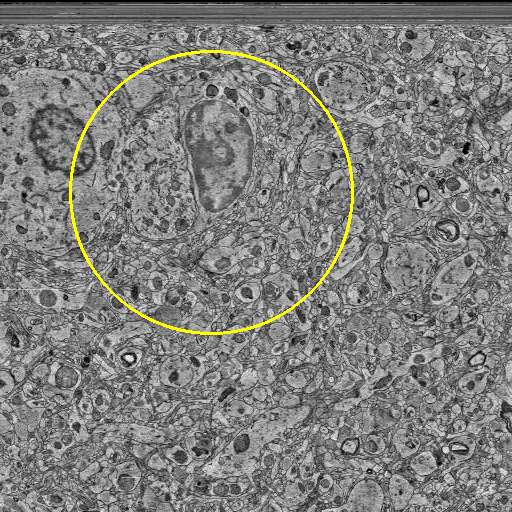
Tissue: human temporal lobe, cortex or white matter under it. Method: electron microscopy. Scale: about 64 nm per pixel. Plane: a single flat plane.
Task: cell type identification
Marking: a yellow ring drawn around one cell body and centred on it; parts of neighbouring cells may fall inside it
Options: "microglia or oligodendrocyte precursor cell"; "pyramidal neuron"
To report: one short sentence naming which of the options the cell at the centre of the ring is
The cell at the centre of the ring is a microglial cell or oligodendrocyte precursor cell.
